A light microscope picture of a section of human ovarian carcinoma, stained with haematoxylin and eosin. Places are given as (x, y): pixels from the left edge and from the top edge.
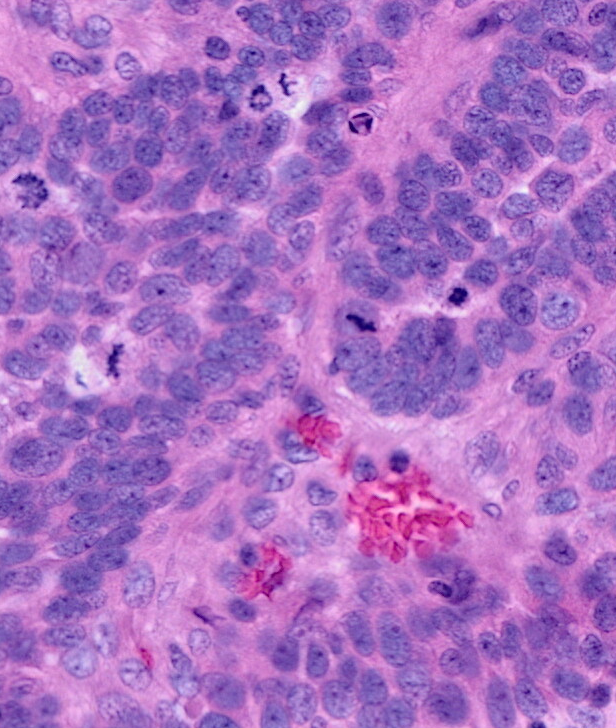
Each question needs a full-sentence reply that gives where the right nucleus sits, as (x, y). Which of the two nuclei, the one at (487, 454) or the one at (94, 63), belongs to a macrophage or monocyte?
The nucleus that belongs to a macrophage or monocyte is located at (94, 63).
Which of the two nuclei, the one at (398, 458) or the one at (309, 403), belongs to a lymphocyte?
It is at (398, 458) that the nucleus of a lymphocyte is found.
